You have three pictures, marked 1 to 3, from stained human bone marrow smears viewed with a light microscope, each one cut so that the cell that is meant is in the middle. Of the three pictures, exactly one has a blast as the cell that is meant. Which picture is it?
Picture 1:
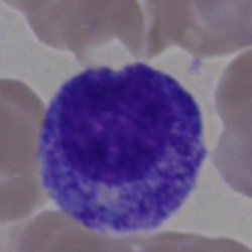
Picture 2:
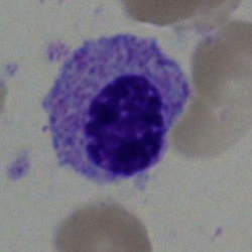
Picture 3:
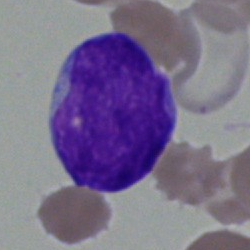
3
